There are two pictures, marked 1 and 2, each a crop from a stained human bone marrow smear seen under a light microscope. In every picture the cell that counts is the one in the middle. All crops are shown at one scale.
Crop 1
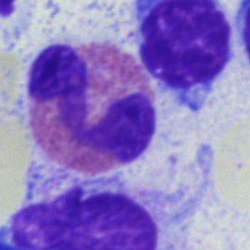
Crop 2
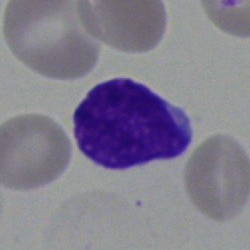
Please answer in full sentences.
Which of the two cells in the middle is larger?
Larger is the cell in crop 1, at roughly 1.5 times the area of the other.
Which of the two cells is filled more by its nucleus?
The nucleus fills more of the cell in crop 2 than in crop 1.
